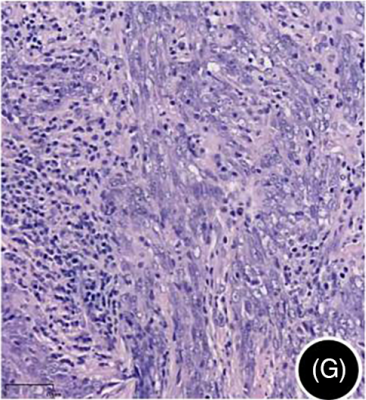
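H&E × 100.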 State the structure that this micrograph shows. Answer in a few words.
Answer: Bundles and trabeculae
